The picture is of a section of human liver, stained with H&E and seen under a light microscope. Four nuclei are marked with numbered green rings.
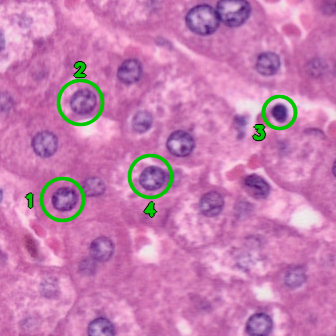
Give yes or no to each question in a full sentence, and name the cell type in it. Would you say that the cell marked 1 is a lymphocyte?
No, cell 1 is not a lymphocyte. It is a hepatocyte.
